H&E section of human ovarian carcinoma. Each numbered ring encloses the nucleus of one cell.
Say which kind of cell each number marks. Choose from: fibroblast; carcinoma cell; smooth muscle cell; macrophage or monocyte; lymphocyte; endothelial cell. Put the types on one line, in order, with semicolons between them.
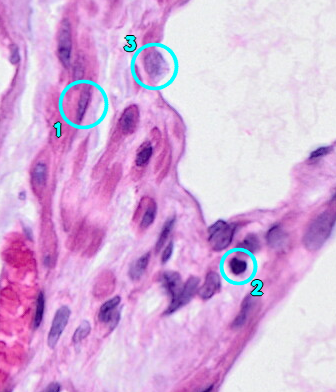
smooth muscle cell; lymphocyte; endothelial cell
